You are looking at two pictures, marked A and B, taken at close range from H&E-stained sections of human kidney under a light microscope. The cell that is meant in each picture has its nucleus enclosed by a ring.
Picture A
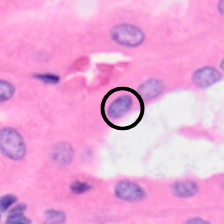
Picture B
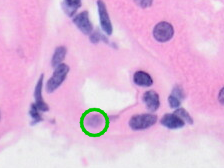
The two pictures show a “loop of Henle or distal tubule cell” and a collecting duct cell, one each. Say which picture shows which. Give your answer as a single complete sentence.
In picture A the cell is a “loop of Henle or distal tubule cell”; in picture B, a collecting duct cell.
